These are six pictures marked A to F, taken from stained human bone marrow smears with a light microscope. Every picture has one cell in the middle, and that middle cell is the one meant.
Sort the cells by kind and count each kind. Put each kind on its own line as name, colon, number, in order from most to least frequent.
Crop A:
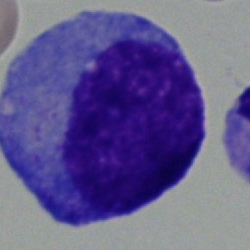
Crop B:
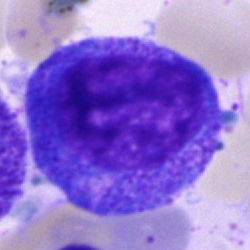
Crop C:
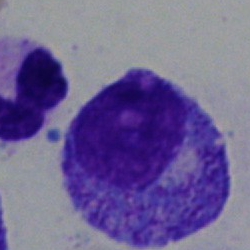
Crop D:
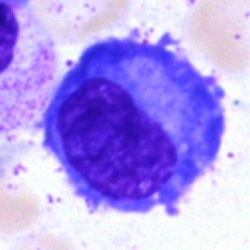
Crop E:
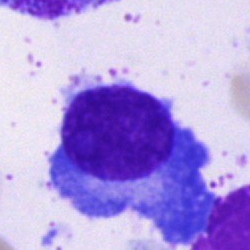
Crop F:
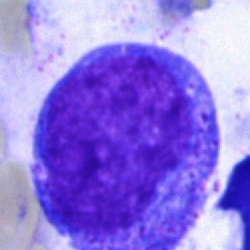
promyelocyte: 4
plasma cell: 2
